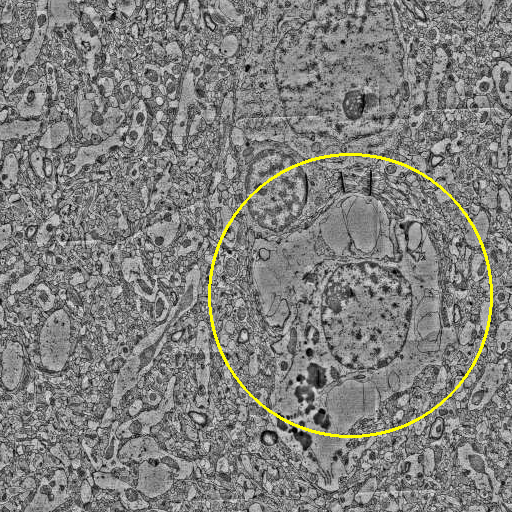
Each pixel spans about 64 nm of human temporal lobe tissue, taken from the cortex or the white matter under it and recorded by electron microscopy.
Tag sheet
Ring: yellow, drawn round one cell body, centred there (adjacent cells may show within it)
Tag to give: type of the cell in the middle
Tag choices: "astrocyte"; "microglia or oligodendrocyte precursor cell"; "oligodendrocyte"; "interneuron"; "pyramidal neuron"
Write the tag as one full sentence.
I tag the cell centred in the yellow ring as an astrocyte in this picture.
